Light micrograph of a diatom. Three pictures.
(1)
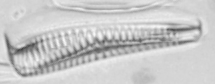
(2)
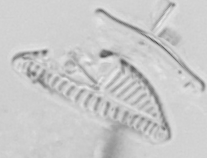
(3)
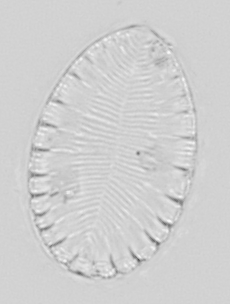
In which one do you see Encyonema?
In picture 2.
